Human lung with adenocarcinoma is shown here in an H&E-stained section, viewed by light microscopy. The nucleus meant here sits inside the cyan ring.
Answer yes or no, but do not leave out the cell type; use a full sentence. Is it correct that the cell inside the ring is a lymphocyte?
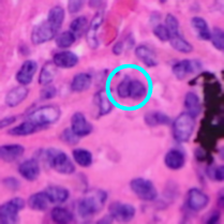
Yes, the identification of the cell inside the ring as a lymphocyte stands.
